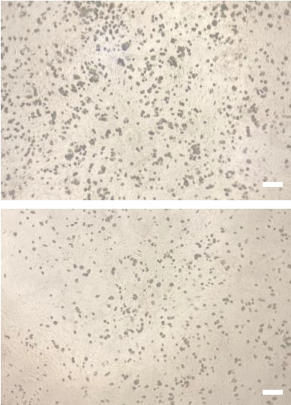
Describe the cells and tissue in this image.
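Numerous small, rounded, dark grey cells lie scattered across a pale background, some alone and some in loose groups. Individual cell outlines can be made out, but finer internal detail is not resolved at this magnification.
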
